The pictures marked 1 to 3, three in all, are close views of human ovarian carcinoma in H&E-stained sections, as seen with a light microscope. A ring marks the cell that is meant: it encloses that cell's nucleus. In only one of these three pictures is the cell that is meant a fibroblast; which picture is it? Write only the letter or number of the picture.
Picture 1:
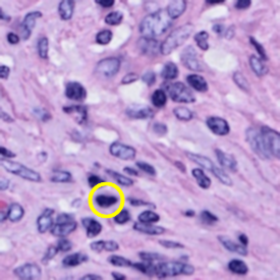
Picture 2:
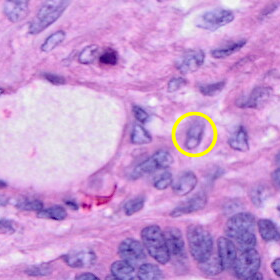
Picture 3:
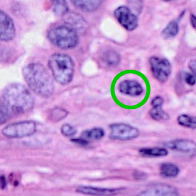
2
